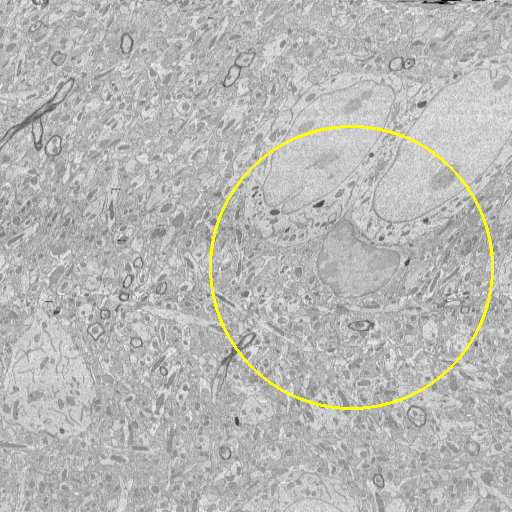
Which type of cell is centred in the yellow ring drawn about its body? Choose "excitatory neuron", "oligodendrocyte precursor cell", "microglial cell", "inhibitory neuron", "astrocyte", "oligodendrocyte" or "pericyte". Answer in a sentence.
The yellow ring surrounds the cell body of a microglial cell.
